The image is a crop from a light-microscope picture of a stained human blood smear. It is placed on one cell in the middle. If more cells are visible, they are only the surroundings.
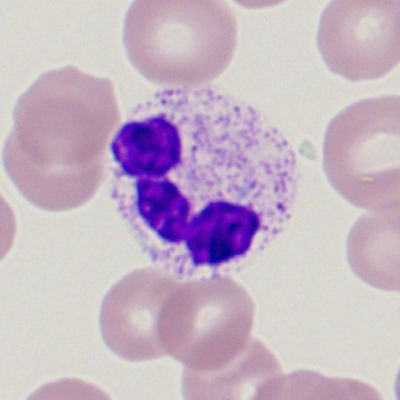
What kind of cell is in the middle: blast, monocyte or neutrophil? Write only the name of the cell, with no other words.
neutrophil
